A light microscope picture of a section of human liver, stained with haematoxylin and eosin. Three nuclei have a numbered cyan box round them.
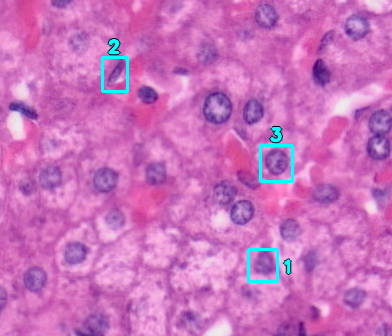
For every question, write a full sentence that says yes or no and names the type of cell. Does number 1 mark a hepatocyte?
Yes, the one with the number 1 is a hepatocyte.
